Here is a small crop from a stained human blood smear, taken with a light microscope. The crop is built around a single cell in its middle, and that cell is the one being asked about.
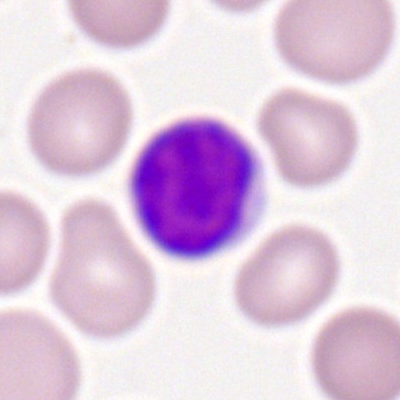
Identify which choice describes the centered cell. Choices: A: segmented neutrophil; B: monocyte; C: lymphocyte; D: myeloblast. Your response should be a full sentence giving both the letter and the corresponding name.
Answer key: option C, the middle cell being a lymphocyte.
